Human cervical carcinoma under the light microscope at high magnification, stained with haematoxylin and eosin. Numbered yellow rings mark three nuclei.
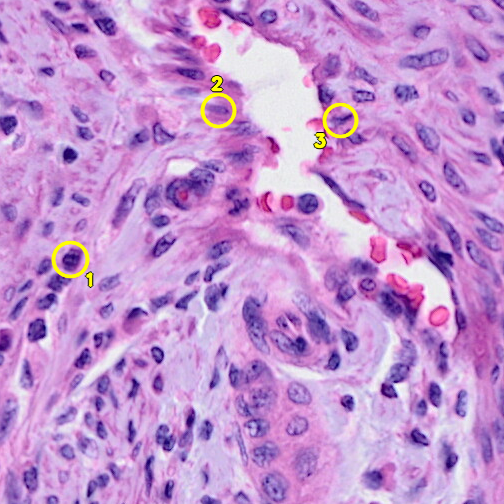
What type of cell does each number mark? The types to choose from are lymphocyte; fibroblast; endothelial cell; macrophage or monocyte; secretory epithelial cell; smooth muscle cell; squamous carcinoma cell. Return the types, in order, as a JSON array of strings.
["lymphocyte", "endothelial cell", "endothelial cell"]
